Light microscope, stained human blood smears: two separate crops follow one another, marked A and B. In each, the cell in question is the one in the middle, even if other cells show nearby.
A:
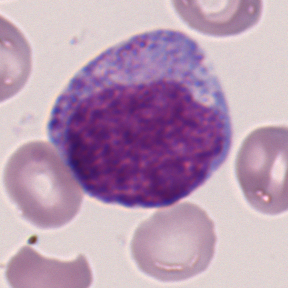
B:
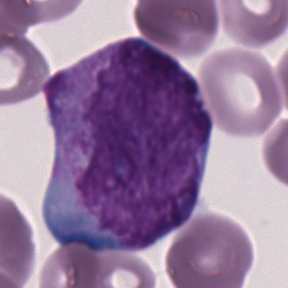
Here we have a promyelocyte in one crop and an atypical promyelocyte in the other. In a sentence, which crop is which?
What is seen in crop A is a promyelocyte; what is seen in crop B is an atypical promyelocyte.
